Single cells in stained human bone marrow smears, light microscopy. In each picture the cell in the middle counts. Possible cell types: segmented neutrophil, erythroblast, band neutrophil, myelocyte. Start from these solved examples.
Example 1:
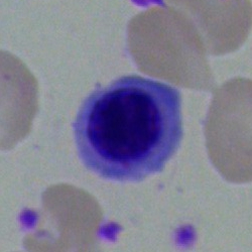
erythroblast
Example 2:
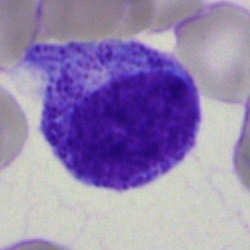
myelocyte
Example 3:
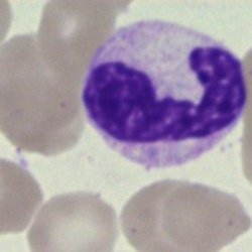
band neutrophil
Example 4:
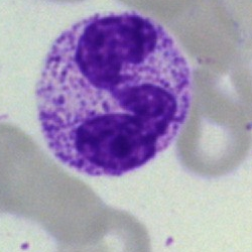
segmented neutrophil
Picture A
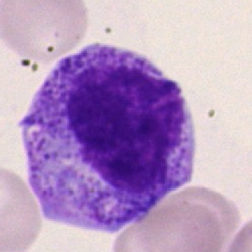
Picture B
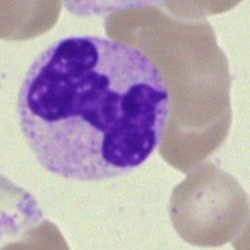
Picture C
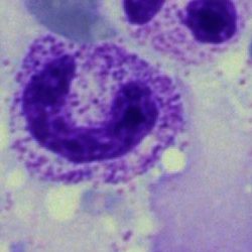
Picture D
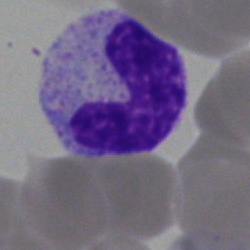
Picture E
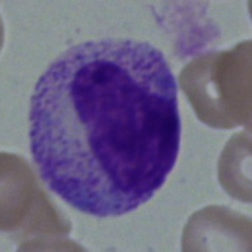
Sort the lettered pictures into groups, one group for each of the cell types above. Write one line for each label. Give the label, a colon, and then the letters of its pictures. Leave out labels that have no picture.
segmented neutrophil: B
band neutrophil: C, D
myelocyte: A, E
